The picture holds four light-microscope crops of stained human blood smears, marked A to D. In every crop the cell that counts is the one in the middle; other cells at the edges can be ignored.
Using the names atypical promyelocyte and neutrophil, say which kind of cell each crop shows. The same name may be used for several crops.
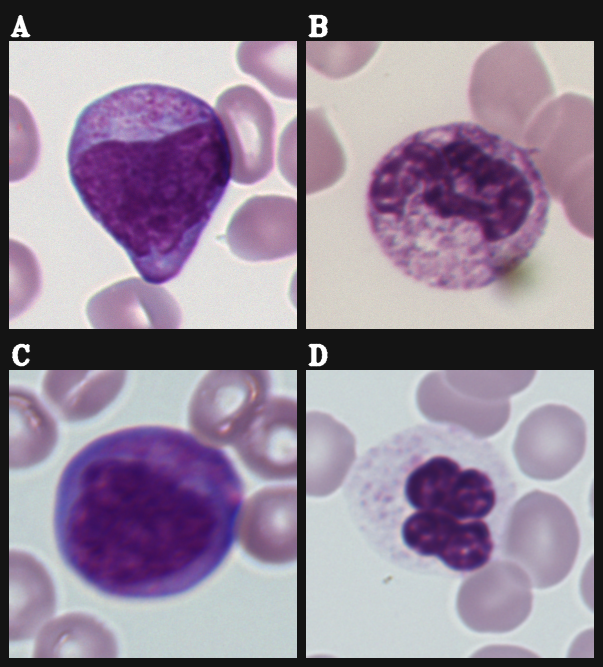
A: atypical promyelocyte
B: neutrophil
C: atypical promyelocyte
D: neutrophil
